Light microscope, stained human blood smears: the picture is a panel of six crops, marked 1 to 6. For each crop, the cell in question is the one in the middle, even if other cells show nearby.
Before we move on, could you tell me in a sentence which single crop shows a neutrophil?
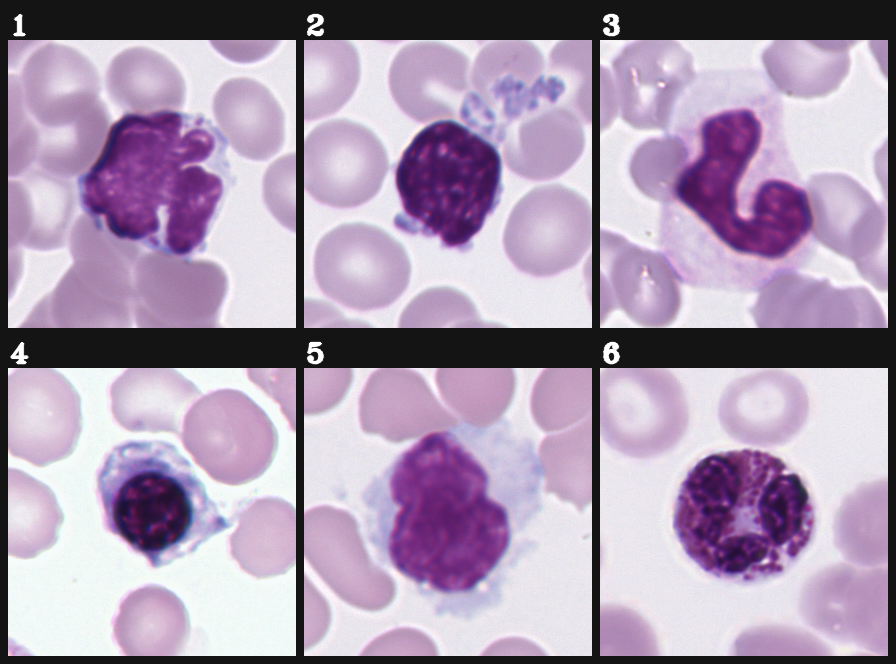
The crop marked 3 is the one in which a neutrophil is shown.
